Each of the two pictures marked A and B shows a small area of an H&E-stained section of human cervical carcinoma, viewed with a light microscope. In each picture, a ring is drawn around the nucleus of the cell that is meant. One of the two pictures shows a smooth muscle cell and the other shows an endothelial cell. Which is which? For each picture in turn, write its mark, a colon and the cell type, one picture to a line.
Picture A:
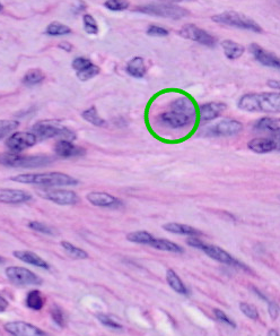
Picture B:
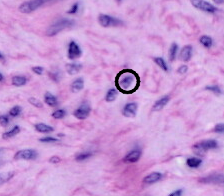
A: endothelial cell
B: smooth muscle cell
